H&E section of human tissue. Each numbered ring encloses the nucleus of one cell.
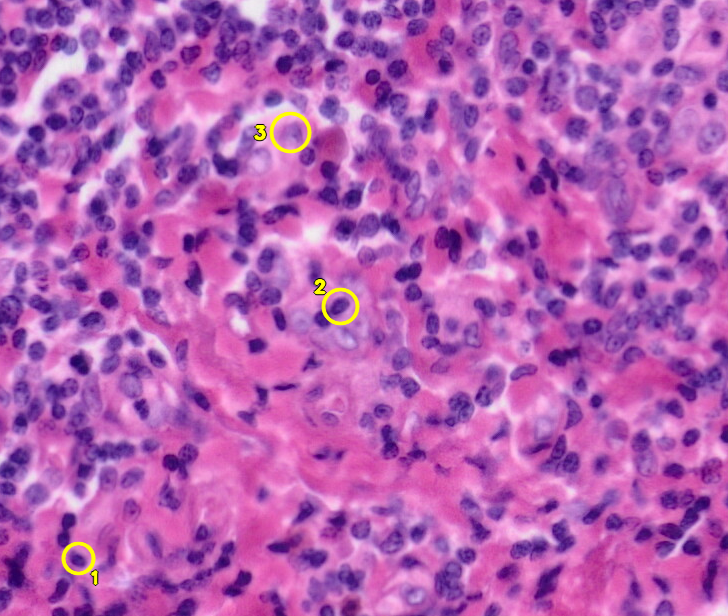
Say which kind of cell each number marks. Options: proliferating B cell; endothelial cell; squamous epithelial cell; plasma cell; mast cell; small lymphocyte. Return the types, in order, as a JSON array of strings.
["mast cell", "endothelial cell", "endothelial cell"]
